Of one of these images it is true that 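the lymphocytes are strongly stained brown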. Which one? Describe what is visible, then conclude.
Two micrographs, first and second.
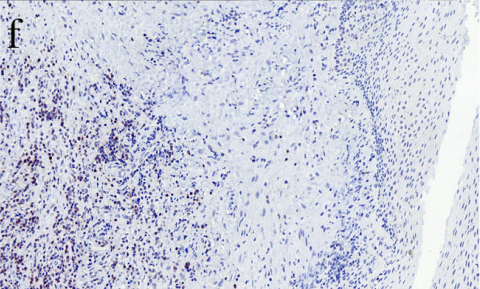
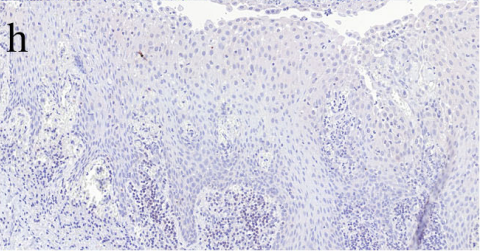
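The first image. Second image: the inflammatory cells in the stroma are mostly blue with little brown. First image: many small round cells on the left are dark brown.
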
